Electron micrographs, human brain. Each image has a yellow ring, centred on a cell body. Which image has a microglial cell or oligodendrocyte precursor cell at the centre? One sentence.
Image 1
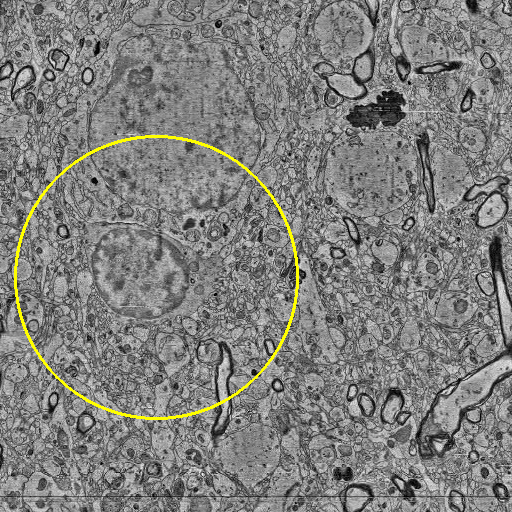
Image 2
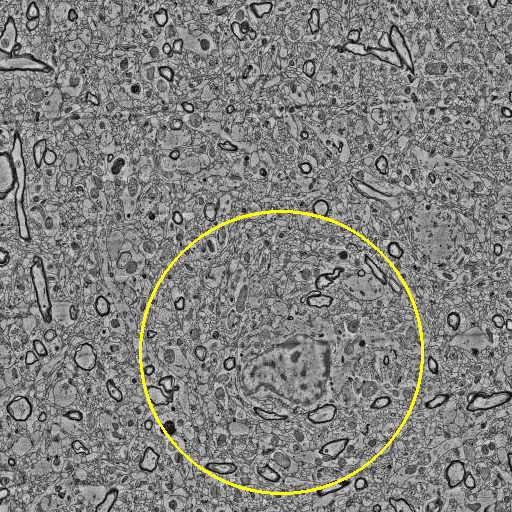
The ring in Image 2 is centred on it.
